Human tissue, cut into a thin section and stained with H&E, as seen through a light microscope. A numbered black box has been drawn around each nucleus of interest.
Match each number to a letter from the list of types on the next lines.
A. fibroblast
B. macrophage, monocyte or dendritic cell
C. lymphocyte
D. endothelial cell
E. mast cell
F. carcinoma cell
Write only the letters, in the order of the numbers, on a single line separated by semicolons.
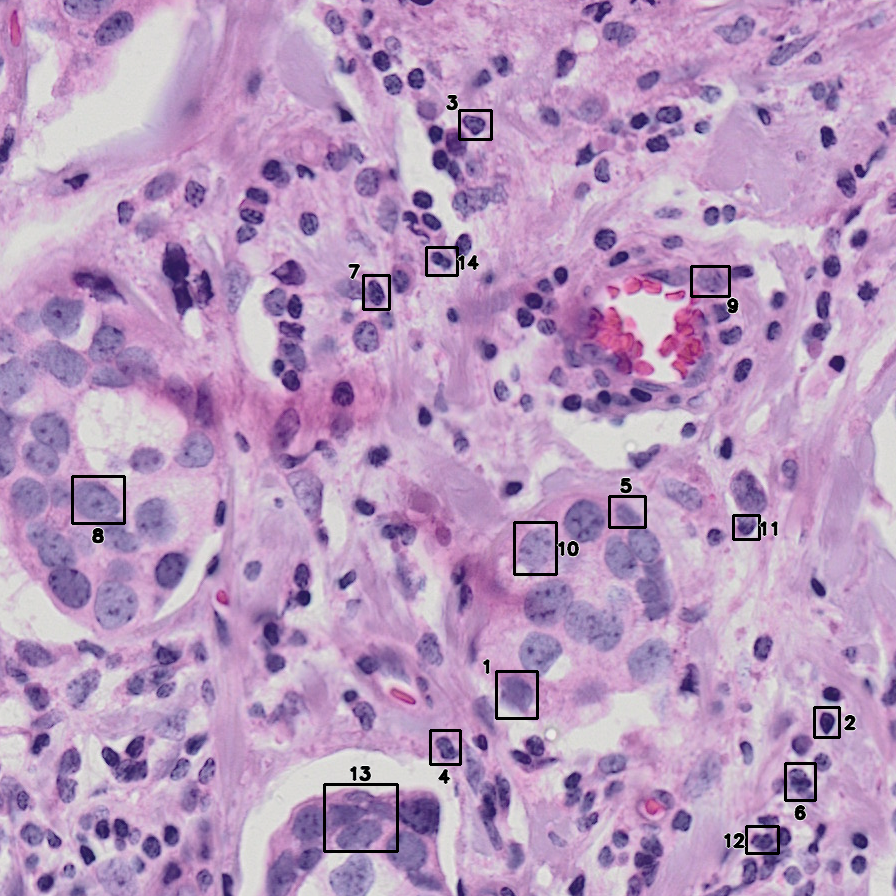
F; C; C; C; F; C; C; F; D; F; C; C; F; C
